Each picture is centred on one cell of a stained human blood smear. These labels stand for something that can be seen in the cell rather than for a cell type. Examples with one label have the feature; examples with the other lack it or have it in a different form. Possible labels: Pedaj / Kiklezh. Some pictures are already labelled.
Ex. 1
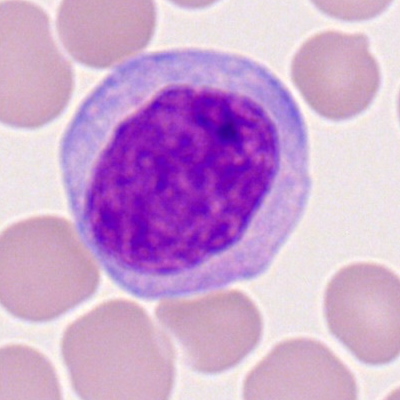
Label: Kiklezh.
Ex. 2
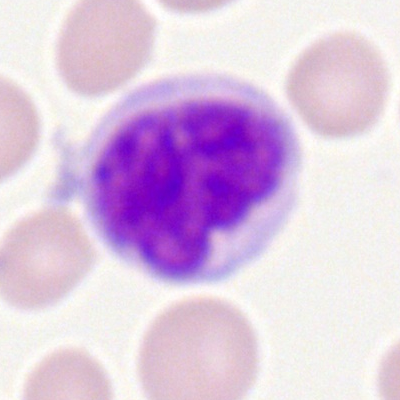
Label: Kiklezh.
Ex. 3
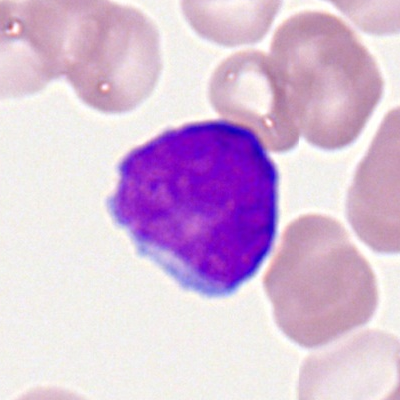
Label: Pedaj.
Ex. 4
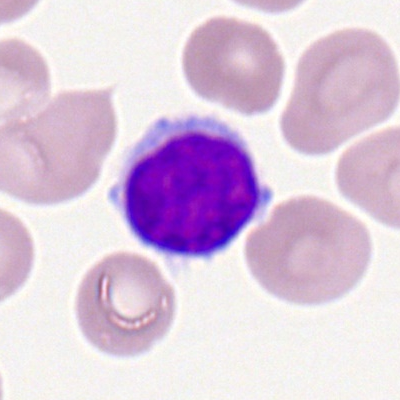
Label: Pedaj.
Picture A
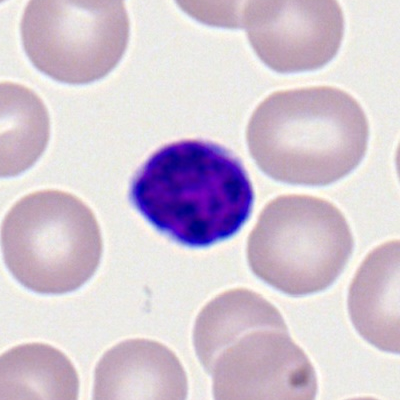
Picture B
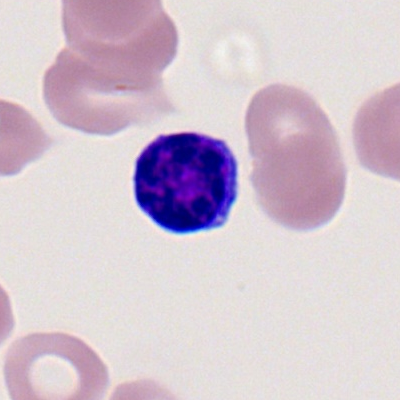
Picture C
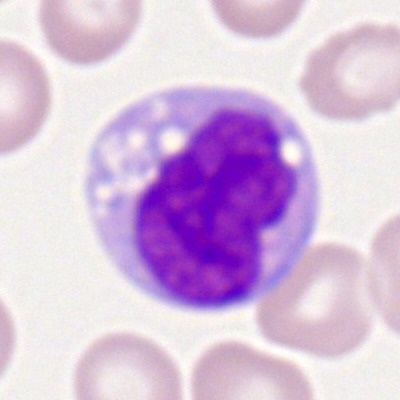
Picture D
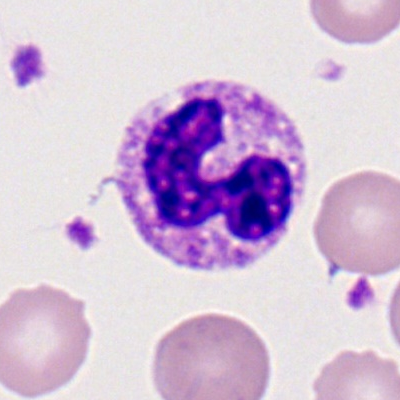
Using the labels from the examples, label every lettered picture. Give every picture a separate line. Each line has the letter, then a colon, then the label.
A: Kiklezh.
B: Kiklezh.
C: Kiklezh.
D: Pedaj.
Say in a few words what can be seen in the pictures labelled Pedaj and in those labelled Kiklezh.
Pedaj: ragged outline or projections; Kiklezh: smooth outline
